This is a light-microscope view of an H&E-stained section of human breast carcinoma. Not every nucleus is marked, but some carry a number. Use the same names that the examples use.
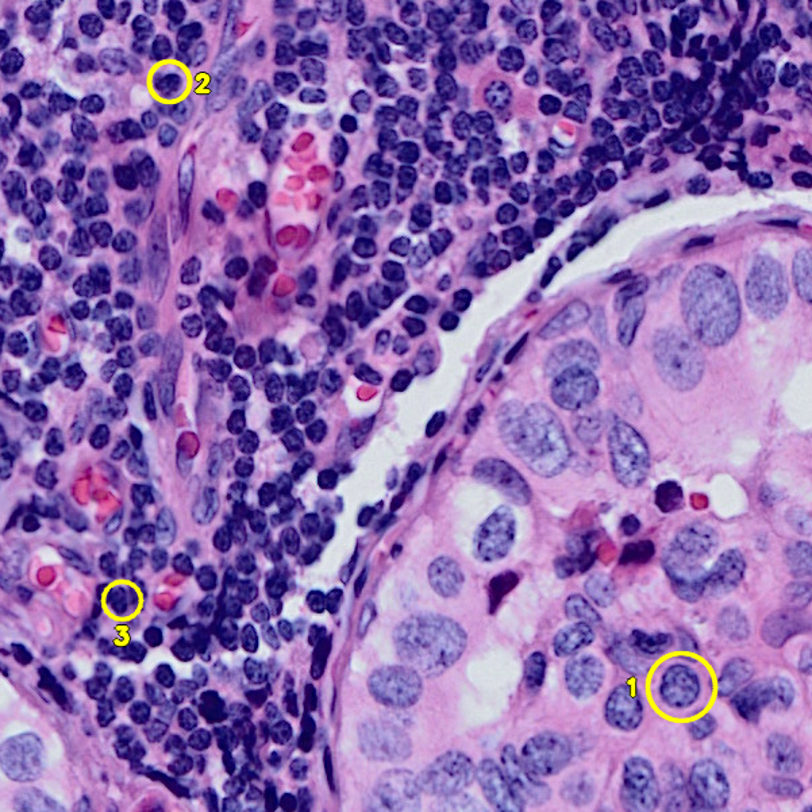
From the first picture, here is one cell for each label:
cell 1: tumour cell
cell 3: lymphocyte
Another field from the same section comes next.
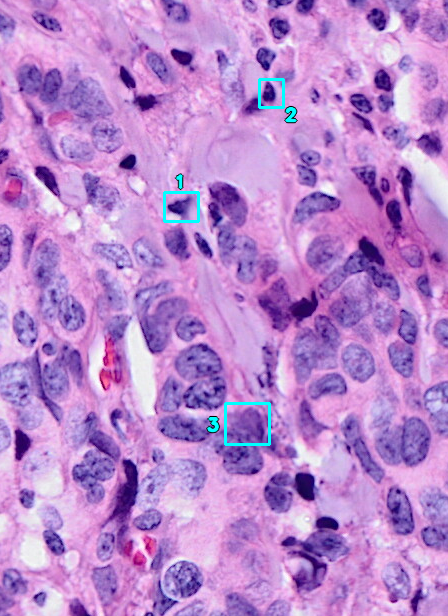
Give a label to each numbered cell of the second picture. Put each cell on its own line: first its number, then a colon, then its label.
1: lymphocyte
2: lymphocyte
3: tumour cell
